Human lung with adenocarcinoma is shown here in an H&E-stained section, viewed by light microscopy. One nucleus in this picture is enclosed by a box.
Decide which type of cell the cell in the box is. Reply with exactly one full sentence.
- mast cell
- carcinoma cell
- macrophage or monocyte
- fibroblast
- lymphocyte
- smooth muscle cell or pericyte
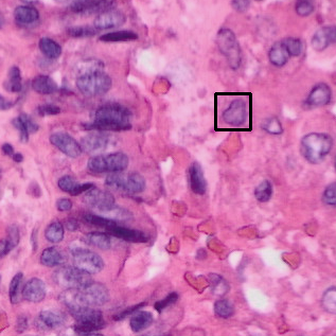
By cell type, the cell in the box is a macrophage or monocyte.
